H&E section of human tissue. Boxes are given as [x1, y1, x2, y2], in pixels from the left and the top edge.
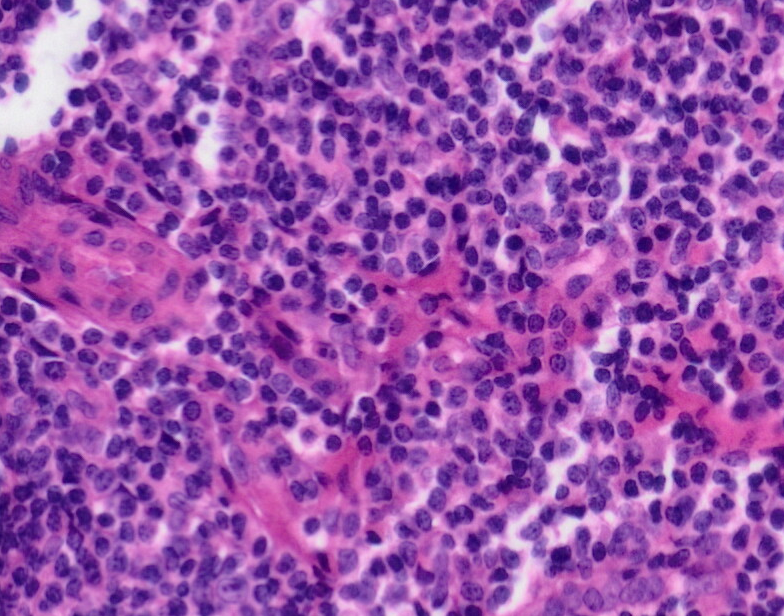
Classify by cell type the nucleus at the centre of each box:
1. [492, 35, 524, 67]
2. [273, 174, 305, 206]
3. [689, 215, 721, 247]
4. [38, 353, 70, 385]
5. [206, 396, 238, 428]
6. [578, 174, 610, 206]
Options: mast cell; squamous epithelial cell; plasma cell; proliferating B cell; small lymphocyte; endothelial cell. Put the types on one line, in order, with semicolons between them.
small lymphocyte; small lymphocyte; small lymphocyte; plasma cell; plasma cell; small lymphocyte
